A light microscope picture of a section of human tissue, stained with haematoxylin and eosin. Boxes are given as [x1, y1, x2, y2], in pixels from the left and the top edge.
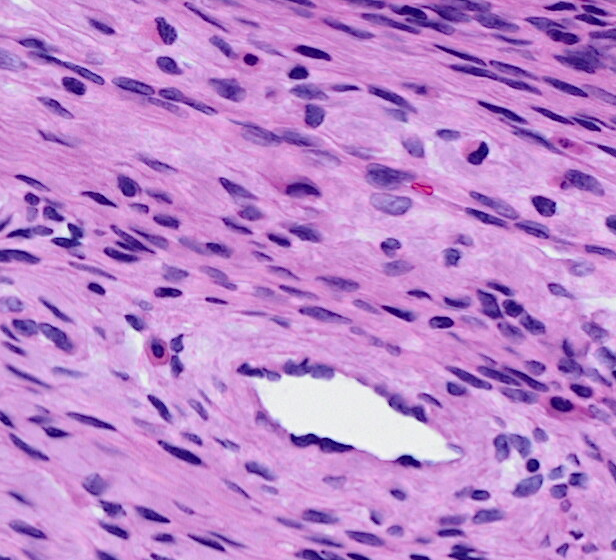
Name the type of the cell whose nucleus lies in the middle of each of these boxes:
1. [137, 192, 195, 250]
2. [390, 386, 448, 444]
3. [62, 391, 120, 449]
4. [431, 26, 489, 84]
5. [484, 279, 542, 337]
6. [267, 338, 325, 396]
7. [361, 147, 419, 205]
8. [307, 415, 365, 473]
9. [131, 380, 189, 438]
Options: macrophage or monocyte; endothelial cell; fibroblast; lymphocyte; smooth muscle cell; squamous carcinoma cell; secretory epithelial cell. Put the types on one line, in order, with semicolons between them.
fibroblast; endothelial cell; fibroblast; fibroblast; lymphocyte; endothelial cell; endothelial cell; endothelial cell; fibroblast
